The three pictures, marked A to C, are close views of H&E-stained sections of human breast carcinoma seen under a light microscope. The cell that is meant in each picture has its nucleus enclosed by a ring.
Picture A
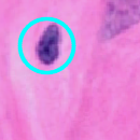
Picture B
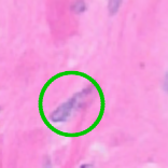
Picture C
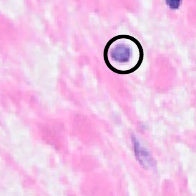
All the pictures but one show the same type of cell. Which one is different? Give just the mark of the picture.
B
